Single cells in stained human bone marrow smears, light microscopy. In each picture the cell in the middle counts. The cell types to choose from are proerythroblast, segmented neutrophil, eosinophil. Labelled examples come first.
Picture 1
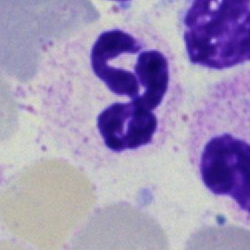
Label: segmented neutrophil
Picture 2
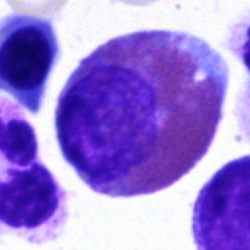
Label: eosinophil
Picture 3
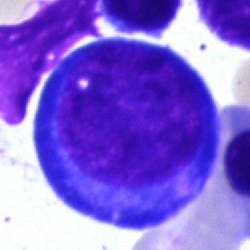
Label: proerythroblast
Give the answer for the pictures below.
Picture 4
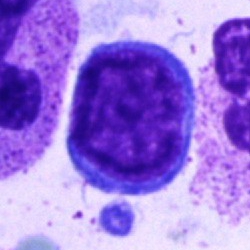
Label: proerythroblast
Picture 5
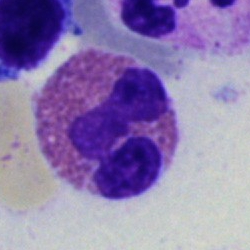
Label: eosinophil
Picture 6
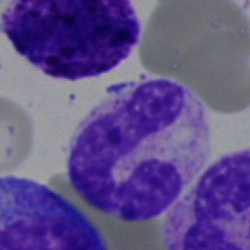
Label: segmented neutrophil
